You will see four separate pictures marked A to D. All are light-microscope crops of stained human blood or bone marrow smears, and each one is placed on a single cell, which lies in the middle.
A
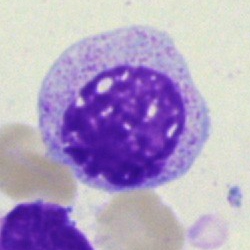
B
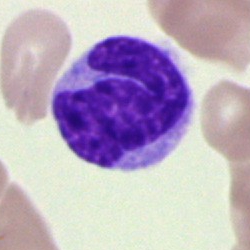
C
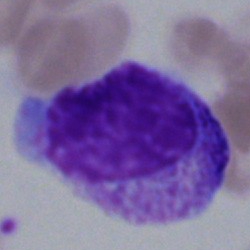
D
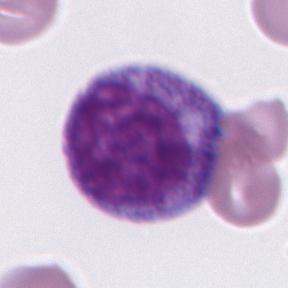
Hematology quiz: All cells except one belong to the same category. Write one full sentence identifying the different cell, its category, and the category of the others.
There is a monocyte in crop B, while all the other crops show myelocytes.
